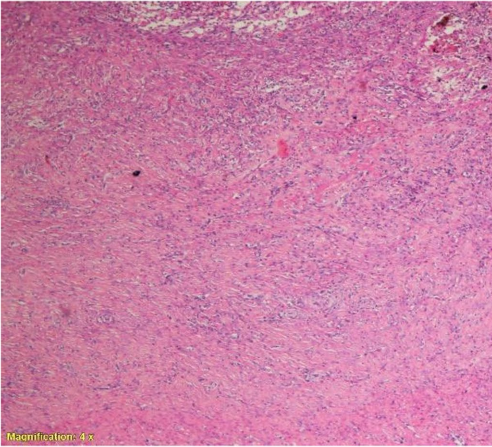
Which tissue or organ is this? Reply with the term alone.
Granulation tissue.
